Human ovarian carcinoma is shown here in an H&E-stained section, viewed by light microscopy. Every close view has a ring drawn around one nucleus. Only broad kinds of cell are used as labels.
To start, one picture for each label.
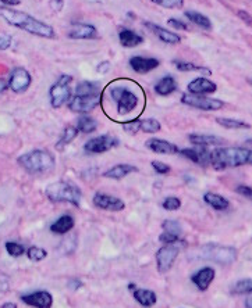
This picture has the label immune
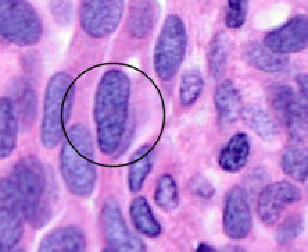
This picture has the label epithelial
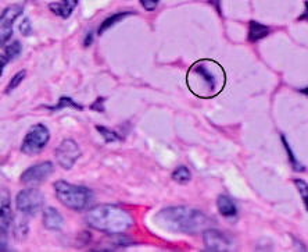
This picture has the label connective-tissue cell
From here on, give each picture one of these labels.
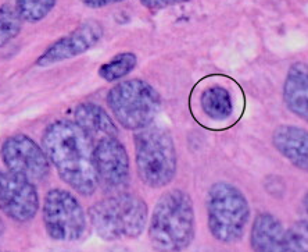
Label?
immune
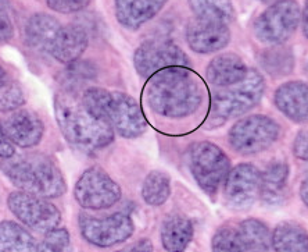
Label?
epithelial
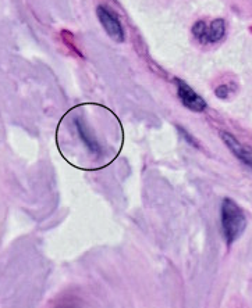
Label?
connective-tissue cell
